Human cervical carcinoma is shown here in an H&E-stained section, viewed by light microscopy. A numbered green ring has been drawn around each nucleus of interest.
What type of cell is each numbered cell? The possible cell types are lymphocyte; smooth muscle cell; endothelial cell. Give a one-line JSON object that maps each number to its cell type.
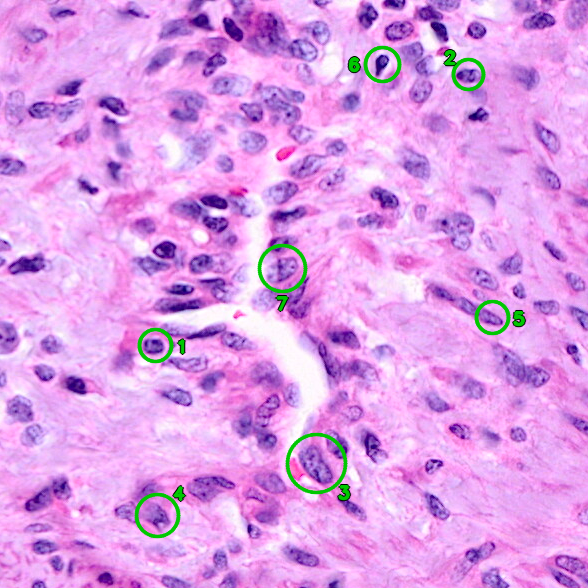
{"1": "lymphocyte", "2": "lymphocyte", "3": "endothelial cell", "4": "endothelial cell", "5": "smooth muscle cell", "6": "lymphocyte", "7": "endothelial cell"}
